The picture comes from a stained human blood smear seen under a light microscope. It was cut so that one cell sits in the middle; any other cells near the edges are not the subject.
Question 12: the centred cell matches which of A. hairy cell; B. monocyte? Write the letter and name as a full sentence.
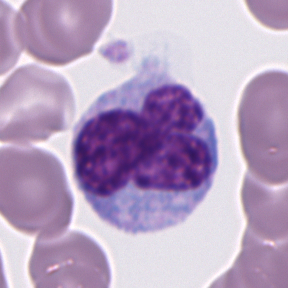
Option B is the correct selection, for the cell at the centre is a monocyte.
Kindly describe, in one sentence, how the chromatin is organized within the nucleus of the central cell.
Its nuclear chromatin is gathered into coarse clumps.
